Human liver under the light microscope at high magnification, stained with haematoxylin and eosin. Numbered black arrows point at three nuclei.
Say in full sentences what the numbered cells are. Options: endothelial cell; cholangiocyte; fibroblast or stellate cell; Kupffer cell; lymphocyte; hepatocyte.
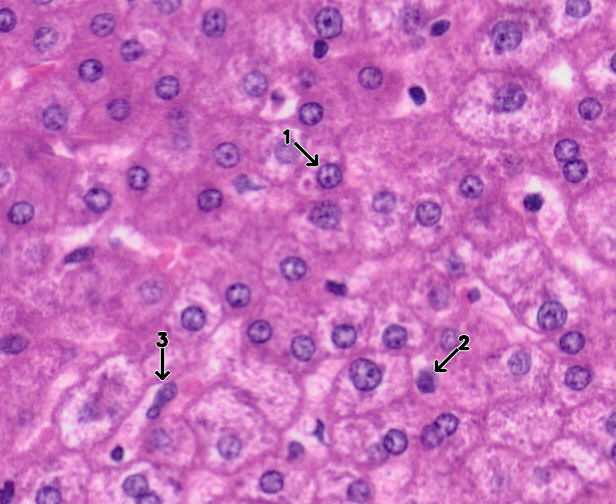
Cell 1 is a hepatocyte, cell 2 is an endothelial cell and cell 3 is a Kupffer cell.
